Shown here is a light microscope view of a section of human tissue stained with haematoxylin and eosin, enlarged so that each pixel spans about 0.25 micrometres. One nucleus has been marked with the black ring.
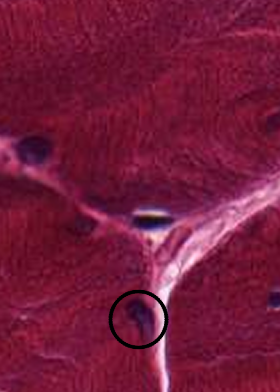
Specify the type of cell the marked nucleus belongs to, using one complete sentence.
The marked nucleus is seen to belong to a skeletal muscle fibre.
